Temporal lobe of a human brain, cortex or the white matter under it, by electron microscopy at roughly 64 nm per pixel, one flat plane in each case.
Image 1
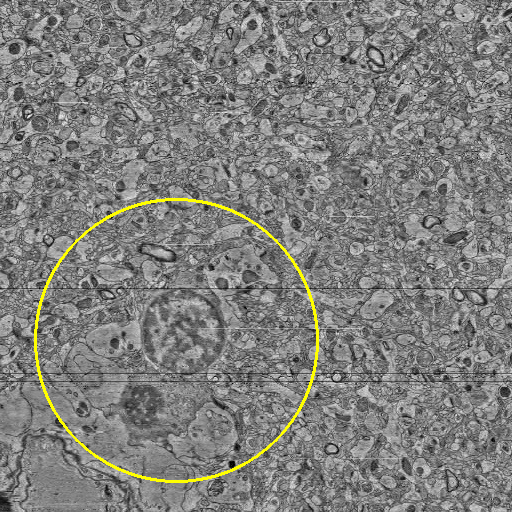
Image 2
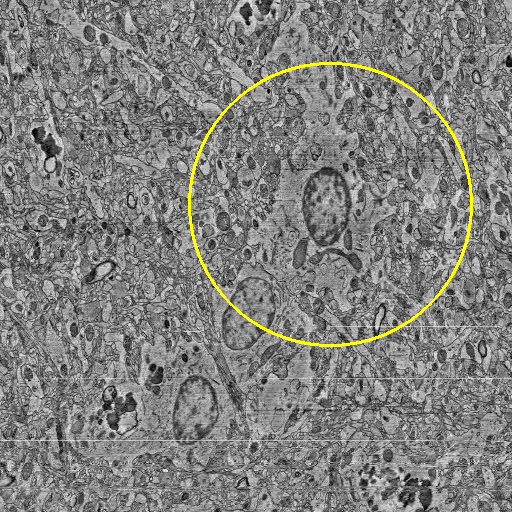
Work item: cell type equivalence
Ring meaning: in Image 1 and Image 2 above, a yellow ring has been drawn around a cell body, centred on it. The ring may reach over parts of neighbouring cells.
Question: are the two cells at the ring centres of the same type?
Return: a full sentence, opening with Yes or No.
No, the two centred cells are of two types.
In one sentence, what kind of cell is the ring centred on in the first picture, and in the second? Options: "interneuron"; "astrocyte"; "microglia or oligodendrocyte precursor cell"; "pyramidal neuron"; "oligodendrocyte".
The cell at the centre of the second ring is an astrocyte; the first ring's cell is an oligodendrocyte.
